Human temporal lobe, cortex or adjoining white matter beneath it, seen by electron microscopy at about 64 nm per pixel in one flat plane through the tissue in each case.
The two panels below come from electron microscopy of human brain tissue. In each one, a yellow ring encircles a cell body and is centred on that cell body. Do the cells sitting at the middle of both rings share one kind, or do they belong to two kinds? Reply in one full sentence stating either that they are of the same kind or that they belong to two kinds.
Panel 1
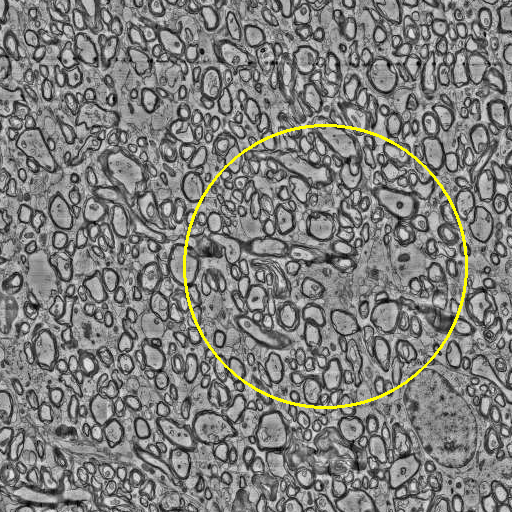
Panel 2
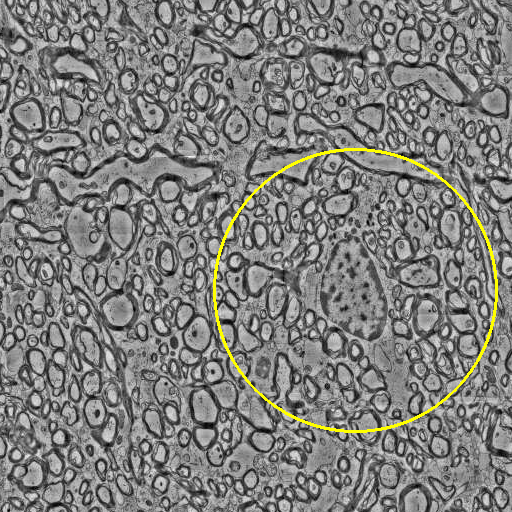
The cells at the centres of the two rings belong to two kinds.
